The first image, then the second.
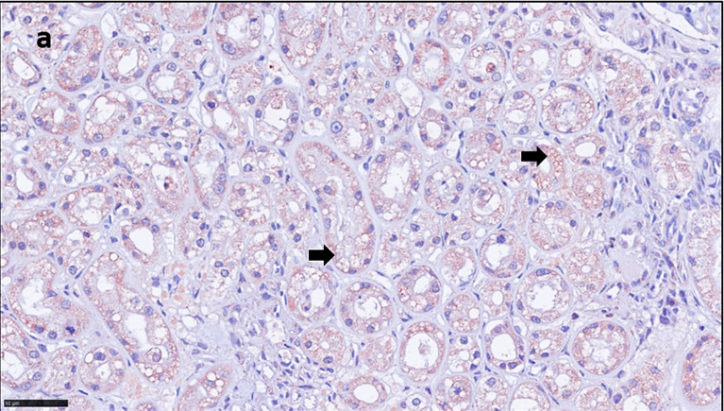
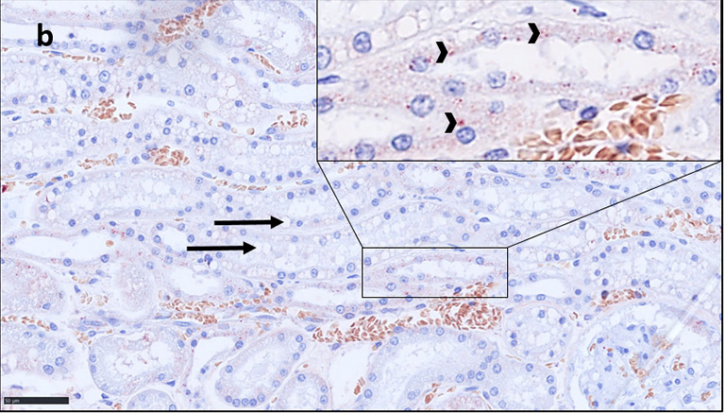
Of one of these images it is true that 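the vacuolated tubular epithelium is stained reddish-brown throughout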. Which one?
The first image.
